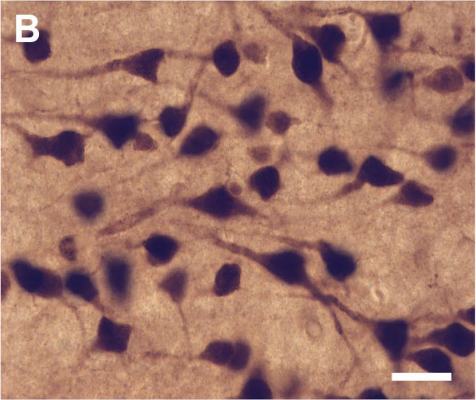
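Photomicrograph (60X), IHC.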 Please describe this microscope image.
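Brain tissue with densely stained cells shows cell bodies colored dark purple-black on an even pale brown background. Many cell bodies are triangular or pyramid-shaped with sharp, smooth outlines, and long stained processes extend from them, several running roughly in parallel across the field. The background between cells is uniform, without cracks or clefts.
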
